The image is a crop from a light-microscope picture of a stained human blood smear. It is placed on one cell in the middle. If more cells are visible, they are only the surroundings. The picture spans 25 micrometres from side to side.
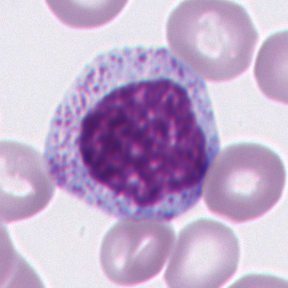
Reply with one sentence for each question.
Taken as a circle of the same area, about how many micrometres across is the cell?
It measures about 15 micrometres across.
